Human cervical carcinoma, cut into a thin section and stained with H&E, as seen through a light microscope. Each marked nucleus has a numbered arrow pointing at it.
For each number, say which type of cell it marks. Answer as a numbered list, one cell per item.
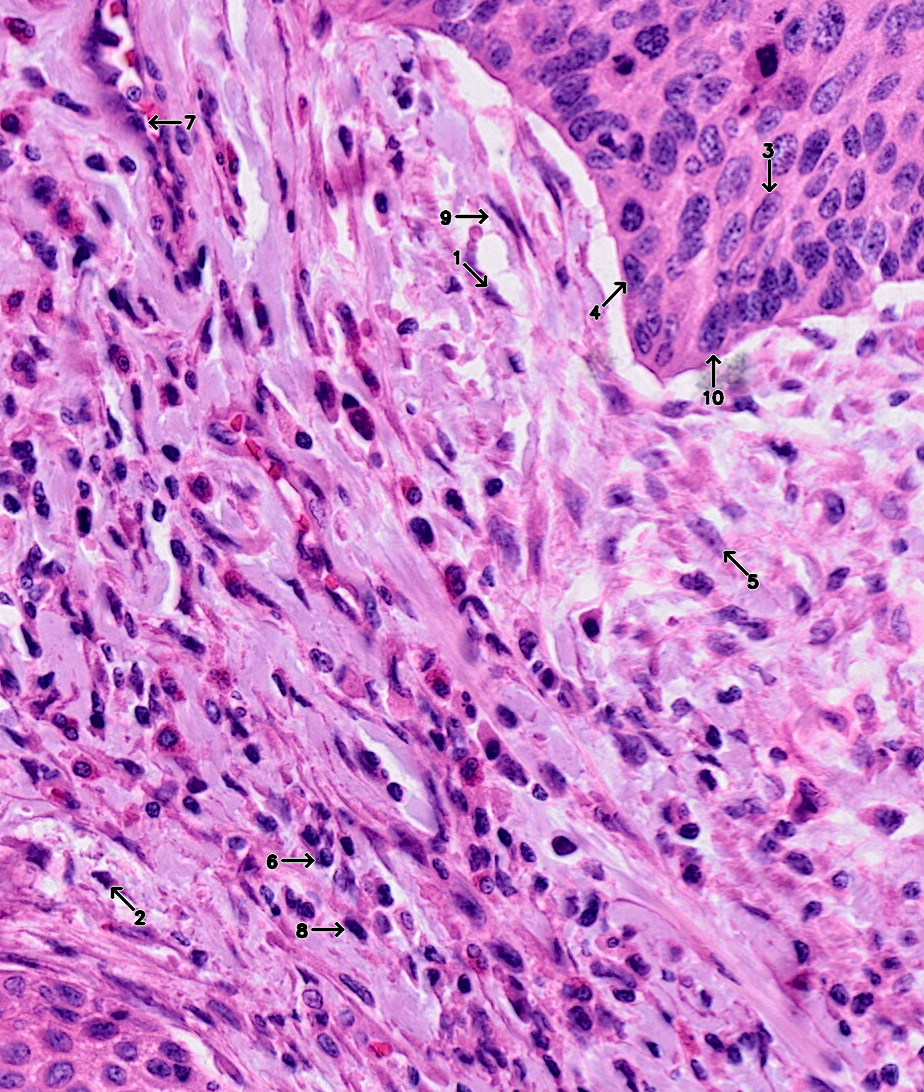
1. fibroblast
2. fibroblast
3. squamous carcinoma cell
4. squamous carcinoma cell
5. fibroblast
6. lymphocyte
7. endothelial cell
8. lymphocyte
9. fibroblast
10. squamous carcinoma cell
